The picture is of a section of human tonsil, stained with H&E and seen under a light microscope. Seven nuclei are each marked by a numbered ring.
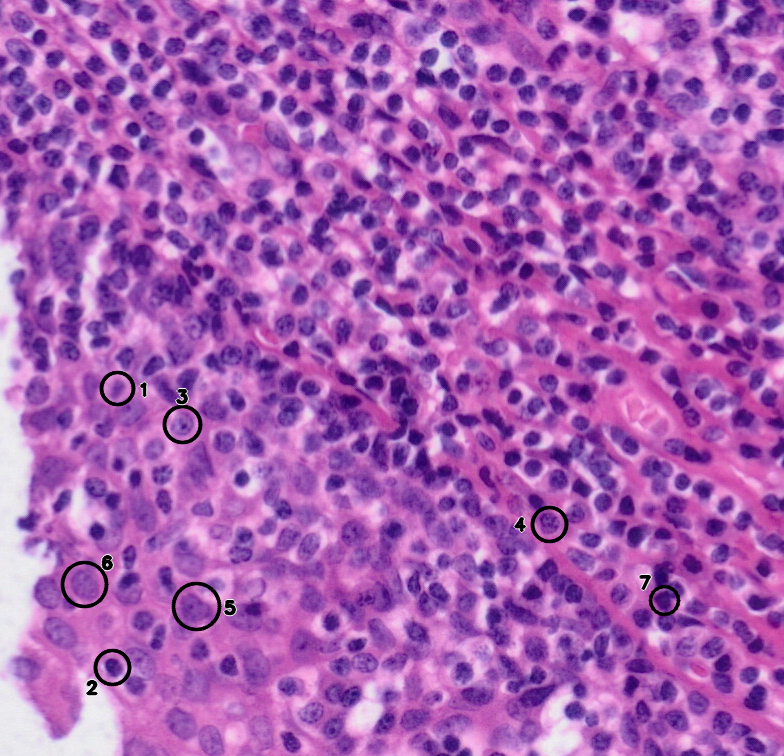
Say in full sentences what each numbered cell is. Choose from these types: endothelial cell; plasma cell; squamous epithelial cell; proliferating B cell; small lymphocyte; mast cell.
Cell 1 is a squamous epithelial cell, cell 2 is a squamous epithelial cell, cell 3 is a plasma cell, cell 4 is a plasma cell, cell 5 is a squamous epithelial cell, cell 6 is a squamous epithelial cell and cell 7 is a plasma cell.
